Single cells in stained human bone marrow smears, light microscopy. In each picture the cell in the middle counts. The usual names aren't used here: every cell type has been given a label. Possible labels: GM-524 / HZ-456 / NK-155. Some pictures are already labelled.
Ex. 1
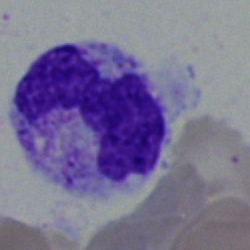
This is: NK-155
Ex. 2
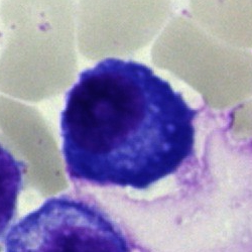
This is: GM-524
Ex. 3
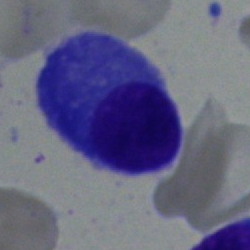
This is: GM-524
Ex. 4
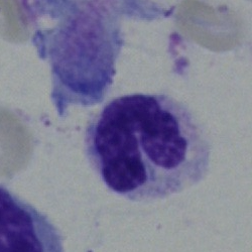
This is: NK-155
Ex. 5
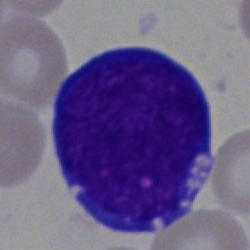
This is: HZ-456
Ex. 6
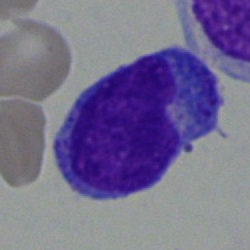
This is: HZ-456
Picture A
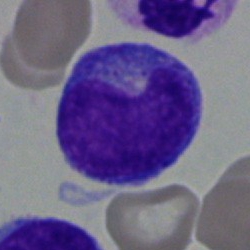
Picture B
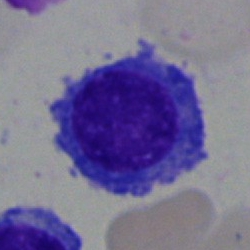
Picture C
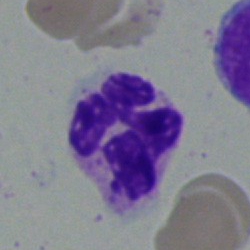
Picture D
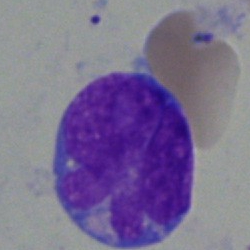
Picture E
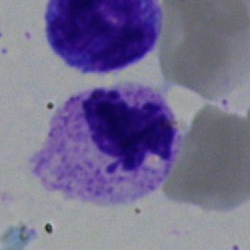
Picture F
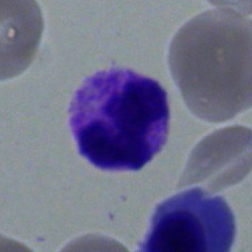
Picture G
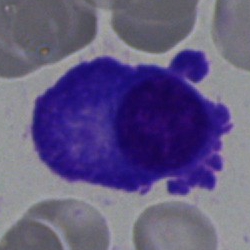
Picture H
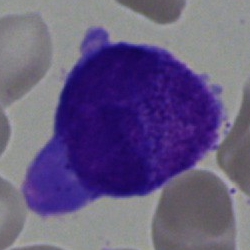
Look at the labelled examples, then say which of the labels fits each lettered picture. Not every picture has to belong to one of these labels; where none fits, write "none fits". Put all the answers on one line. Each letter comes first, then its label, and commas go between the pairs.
A HZ-456, B GM-524, C none fits, D HZ-456, E none fits, F none fits, G GM-524, H HZ-456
